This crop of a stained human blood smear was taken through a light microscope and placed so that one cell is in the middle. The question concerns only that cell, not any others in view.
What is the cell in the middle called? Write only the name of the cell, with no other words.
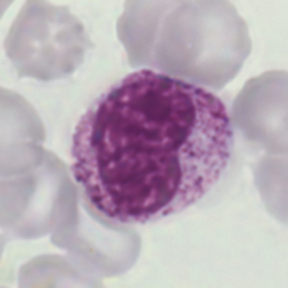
metamyelocyte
